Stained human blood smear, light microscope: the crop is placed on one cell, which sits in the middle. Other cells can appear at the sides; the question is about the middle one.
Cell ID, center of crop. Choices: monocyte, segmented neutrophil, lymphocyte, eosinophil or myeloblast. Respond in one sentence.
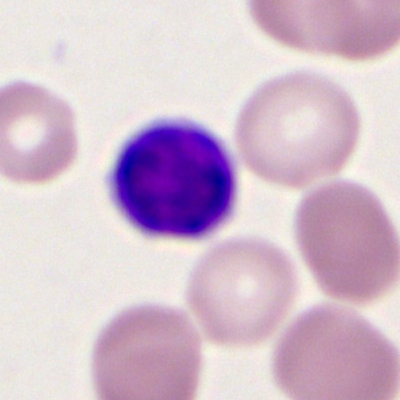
At the center of the crop sits a lymphocyte.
